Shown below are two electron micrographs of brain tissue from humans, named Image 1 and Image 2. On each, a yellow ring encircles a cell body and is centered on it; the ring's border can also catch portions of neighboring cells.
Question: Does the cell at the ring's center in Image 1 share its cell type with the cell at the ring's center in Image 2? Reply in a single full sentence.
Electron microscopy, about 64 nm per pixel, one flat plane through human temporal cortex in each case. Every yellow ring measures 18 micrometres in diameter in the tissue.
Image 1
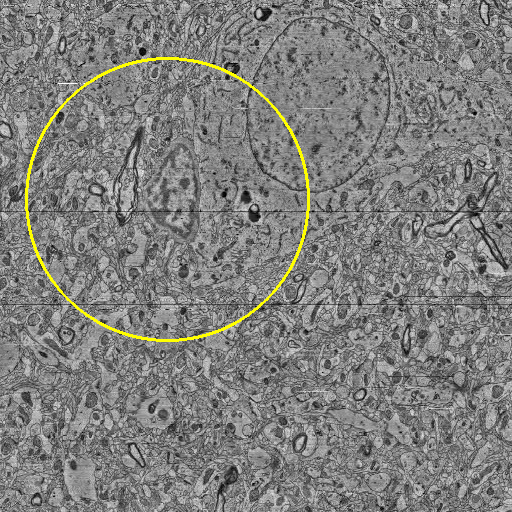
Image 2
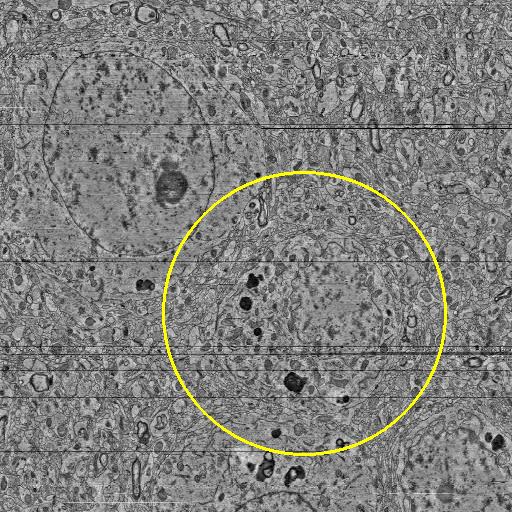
No, the two cells at the ring centers, in Image 1 and Image 2, are of two cell types.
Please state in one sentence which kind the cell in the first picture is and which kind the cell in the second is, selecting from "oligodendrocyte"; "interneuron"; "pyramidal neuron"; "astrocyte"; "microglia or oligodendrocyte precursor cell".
The first ringed cell is an oligodendrocyte, the second ringed cell an interneuron.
